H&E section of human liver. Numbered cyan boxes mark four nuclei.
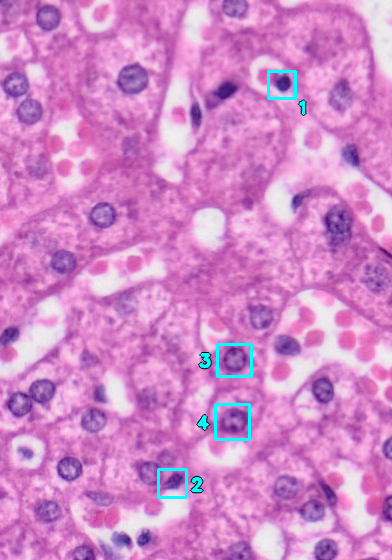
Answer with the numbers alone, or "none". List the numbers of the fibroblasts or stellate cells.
2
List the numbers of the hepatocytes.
3, 4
